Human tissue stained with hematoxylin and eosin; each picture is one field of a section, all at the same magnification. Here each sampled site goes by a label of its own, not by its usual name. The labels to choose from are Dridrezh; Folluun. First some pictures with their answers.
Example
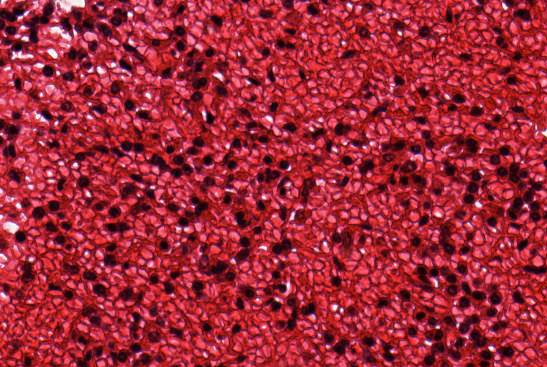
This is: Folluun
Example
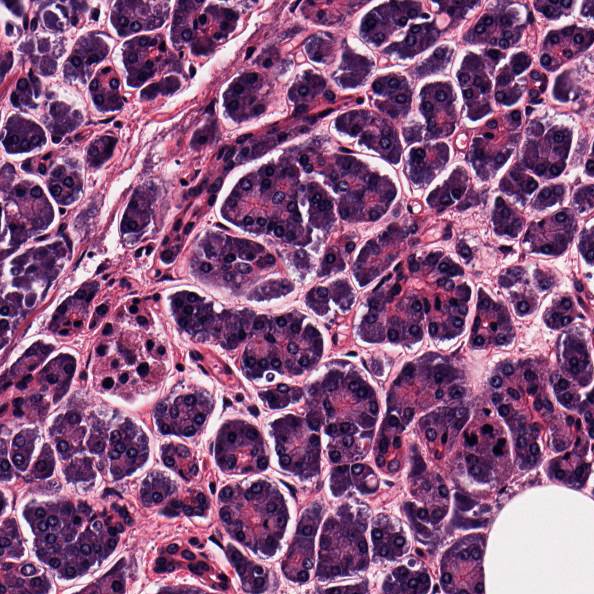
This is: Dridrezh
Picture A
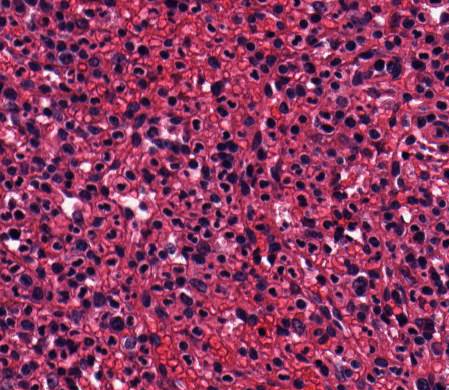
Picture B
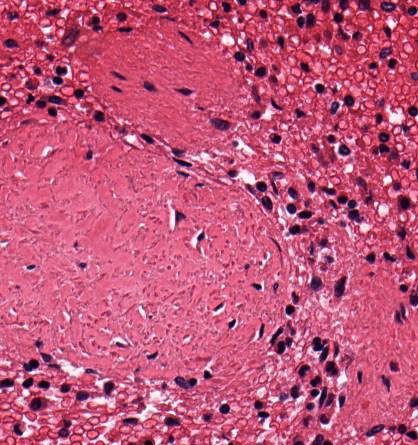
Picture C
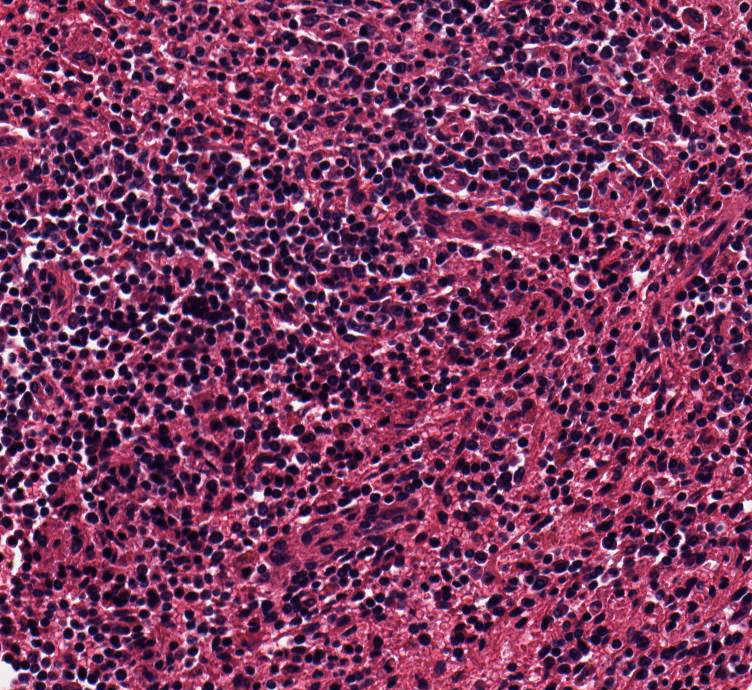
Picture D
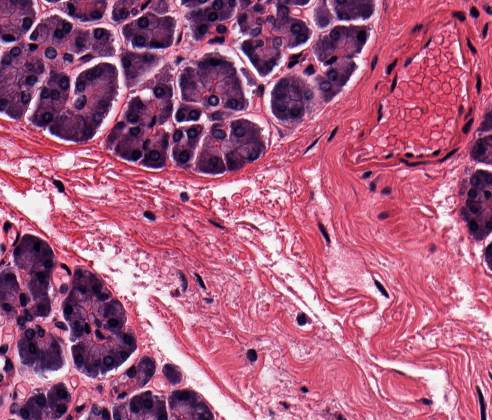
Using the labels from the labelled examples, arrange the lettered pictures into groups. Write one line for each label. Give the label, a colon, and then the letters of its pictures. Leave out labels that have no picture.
Dridrezh: D
Folluun: A, B, C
